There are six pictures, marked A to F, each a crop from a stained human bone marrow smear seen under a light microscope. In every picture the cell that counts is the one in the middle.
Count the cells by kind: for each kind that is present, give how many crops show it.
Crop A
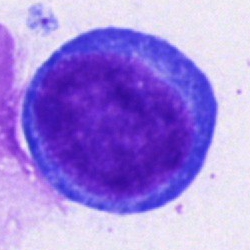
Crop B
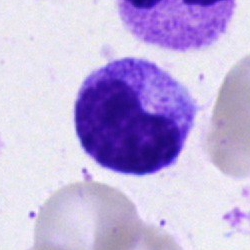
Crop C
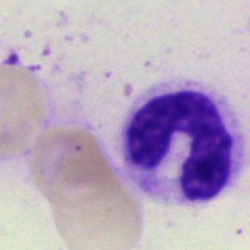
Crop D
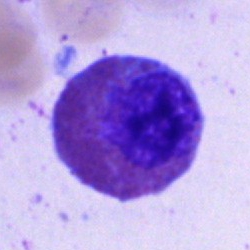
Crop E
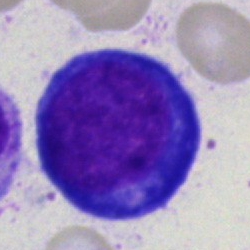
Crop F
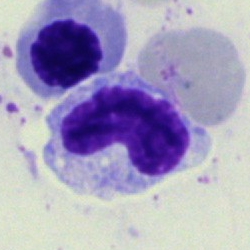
proerythroblast: 2
band neutrophil: 2
metamyelocyte: 1
eosinophil: 1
